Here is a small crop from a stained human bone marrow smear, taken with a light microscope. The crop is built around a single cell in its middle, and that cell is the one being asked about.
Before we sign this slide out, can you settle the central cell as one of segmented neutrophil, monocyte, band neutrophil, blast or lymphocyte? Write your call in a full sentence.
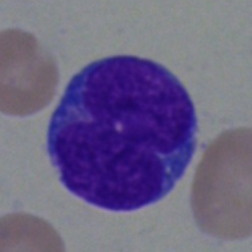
The cell marked by its central position in the crop is a blast.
